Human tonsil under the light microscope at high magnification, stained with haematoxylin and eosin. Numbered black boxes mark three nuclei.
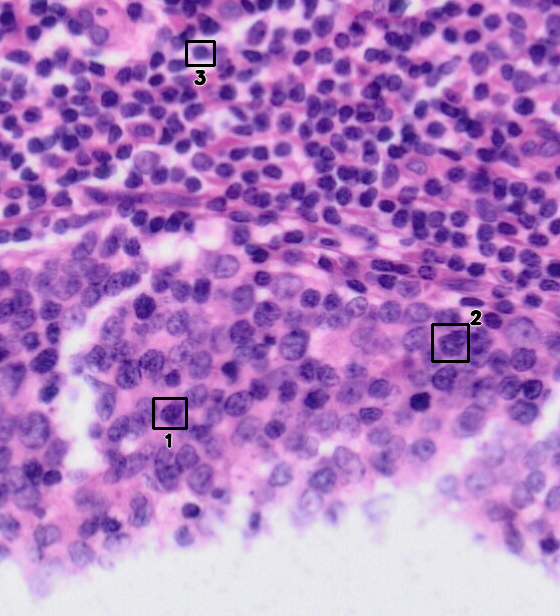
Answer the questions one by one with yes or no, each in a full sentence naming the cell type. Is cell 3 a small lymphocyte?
Yes, cell 3 among the marked cells is a small lymphocyte.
